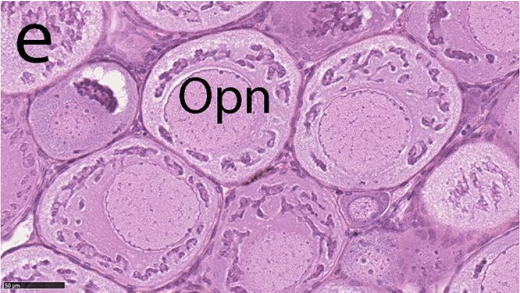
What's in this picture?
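This ovary is filled with primary oocytes in the perinucleolar stage, large round cells packed tightly against one another. Thin strands of tissue run between the oocytes.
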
